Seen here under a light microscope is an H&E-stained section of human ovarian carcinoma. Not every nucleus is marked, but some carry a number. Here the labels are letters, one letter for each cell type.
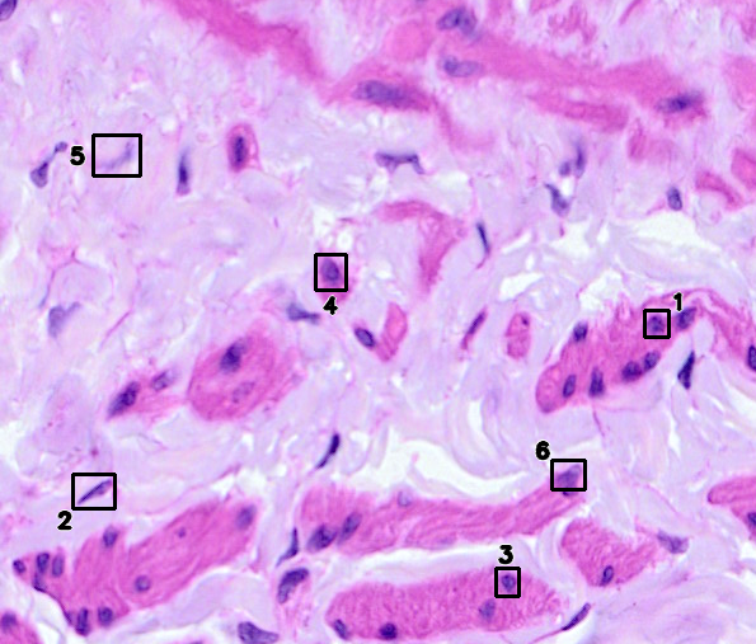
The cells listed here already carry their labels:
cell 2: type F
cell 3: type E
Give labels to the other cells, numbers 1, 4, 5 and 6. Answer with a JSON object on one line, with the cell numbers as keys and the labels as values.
{"1": "type E", "4": "type E", "5": "type F", "6": "type E"}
